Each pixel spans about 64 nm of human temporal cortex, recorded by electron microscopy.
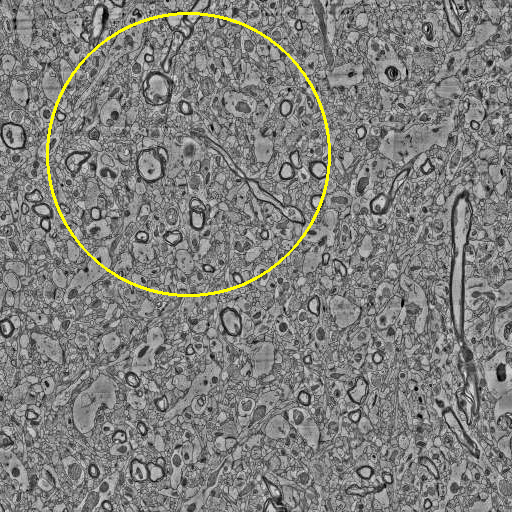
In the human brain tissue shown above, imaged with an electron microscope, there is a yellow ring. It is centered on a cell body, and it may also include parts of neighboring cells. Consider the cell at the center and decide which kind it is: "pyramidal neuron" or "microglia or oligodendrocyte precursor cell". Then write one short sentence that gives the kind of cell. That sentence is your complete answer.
This centered cell body is that of a microglial cell or oligodendrocyte precursor cell.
